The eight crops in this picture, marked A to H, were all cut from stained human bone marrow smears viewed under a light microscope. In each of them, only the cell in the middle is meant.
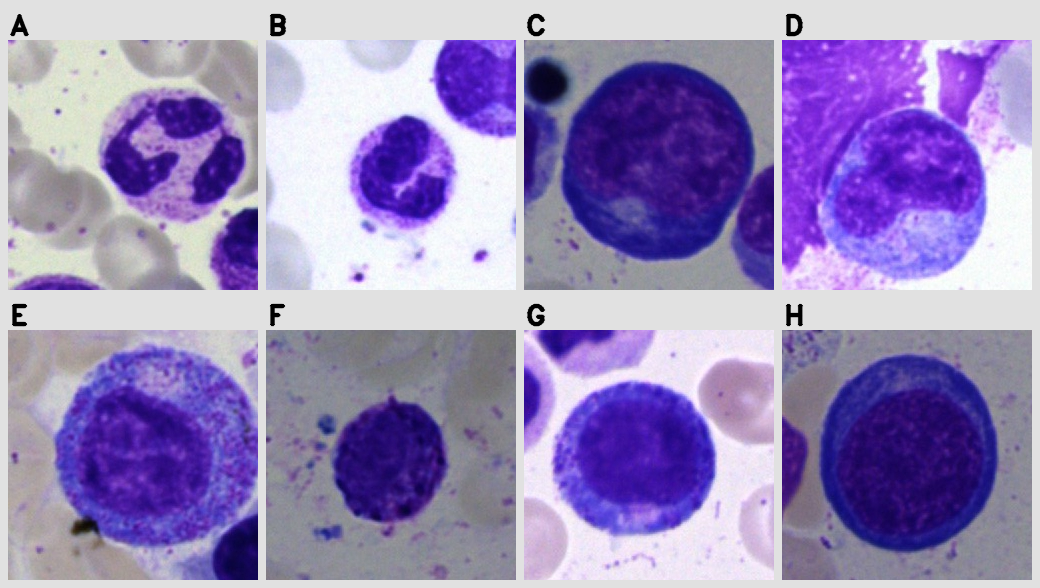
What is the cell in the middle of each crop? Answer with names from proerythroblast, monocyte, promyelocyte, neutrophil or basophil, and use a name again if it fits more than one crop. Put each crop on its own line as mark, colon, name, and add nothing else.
A: neutrophil
B: neutrophil
C: proerythroblast
D: monocyte
E: promyelocyte
F: basophil
G: promyelocyte
H: proerythroblast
